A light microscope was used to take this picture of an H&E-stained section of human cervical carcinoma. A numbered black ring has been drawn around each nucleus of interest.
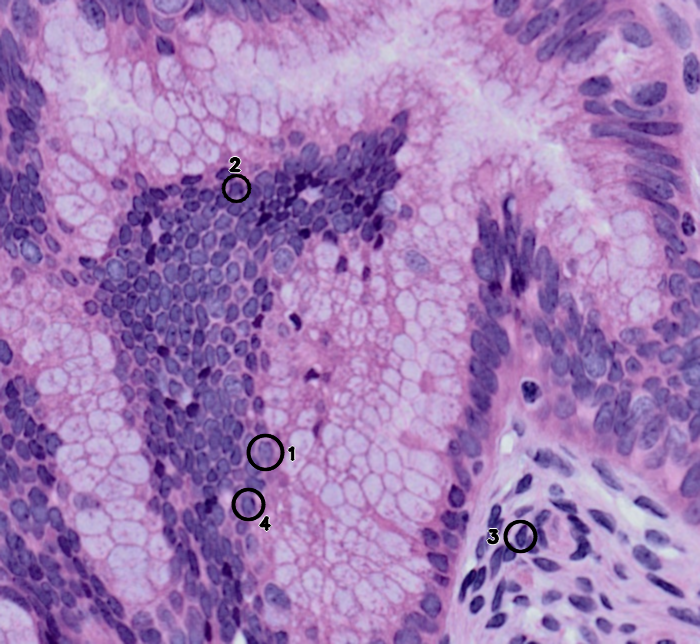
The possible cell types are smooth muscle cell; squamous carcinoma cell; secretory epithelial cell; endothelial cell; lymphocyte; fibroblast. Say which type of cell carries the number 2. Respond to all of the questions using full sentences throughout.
At number 2, the marked cell is a secretory epithelial cell.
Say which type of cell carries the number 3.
Regarding cell 3, this one is a fibroblast.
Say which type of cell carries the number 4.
The cell with the number 4 is a secretory epithelial cell.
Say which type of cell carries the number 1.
The cell marked with number 1 is a secretory epithelial cell.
